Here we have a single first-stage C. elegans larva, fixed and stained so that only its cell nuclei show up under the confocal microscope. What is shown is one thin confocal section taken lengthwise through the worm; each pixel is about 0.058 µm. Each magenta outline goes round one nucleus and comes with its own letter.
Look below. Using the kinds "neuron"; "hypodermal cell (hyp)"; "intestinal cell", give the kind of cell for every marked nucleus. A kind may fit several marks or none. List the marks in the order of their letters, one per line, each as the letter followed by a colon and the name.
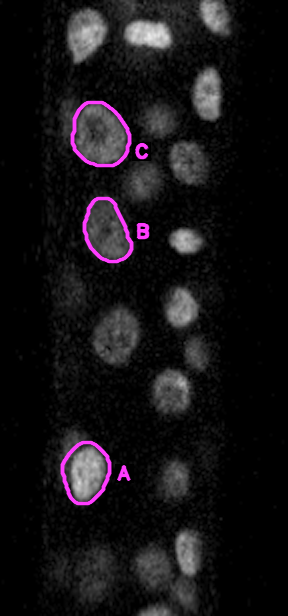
A: neuron
B: hypodermal cell (hyp)
C: intestinal cell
